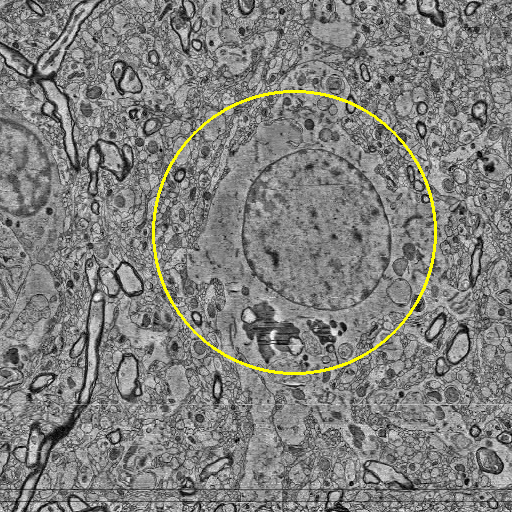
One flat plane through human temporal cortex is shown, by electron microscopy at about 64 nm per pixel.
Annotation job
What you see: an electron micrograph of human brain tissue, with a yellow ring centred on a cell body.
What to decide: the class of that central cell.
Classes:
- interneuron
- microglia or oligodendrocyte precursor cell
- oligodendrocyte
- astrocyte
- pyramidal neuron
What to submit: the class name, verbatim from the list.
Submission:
astrocyte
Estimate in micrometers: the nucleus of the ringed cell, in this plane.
In this plane the nucleus is about 11 micrometres by 9.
